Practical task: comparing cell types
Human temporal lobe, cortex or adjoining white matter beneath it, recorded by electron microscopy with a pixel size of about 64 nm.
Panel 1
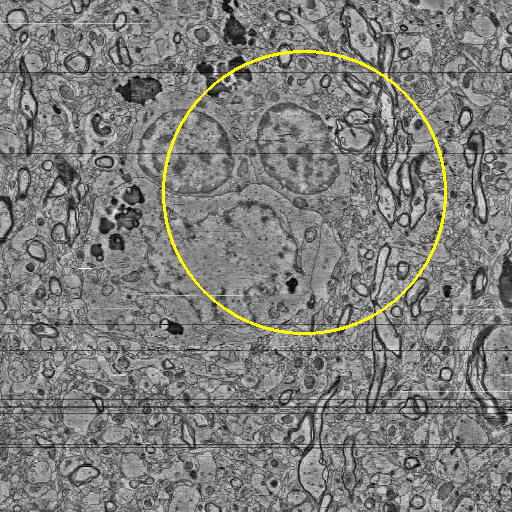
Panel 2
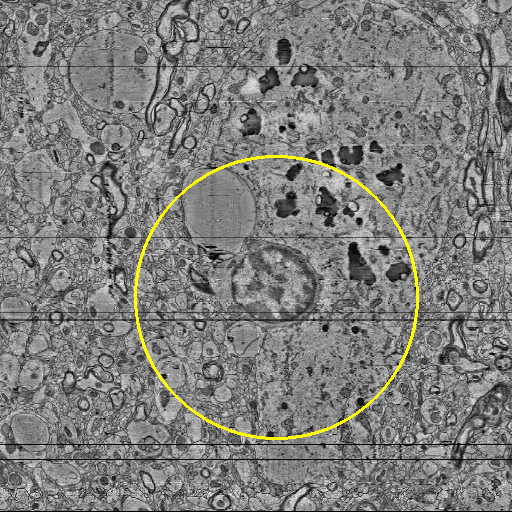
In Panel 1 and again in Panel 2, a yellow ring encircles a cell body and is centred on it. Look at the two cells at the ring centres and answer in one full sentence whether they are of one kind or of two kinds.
The two cells sitting at the ring centres of Panels 1 and 2 are of one kind.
